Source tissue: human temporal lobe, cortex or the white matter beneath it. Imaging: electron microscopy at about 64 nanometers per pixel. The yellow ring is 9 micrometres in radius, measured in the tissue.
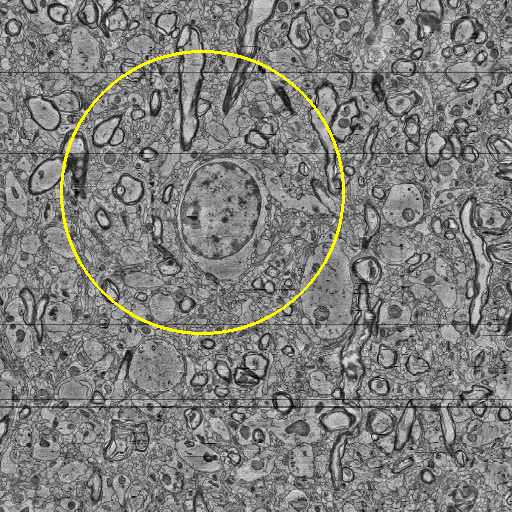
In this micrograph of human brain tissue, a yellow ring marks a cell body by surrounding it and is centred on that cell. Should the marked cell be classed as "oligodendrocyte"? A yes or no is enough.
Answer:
no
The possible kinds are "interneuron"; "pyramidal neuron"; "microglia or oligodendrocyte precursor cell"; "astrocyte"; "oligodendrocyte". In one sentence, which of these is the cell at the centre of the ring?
The cell this ring marks is a microglial cell or oligodendrocyte precursor cell.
